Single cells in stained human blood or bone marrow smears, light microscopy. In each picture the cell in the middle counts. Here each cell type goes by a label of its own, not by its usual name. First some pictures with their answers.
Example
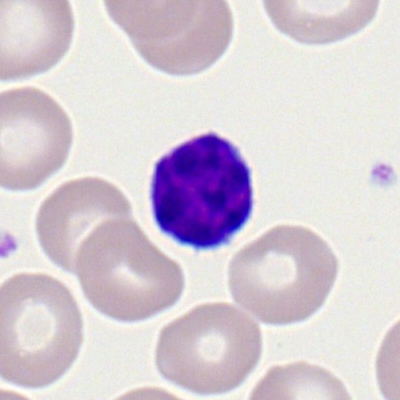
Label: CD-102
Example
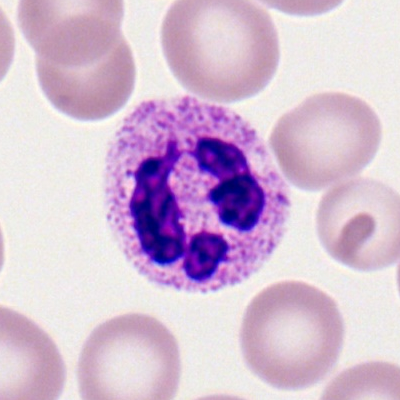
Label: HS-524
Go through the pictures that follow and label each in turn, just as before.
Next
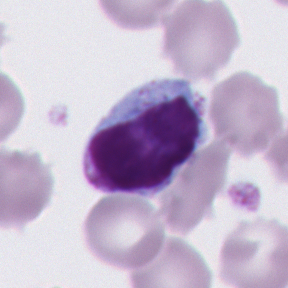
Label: CD-102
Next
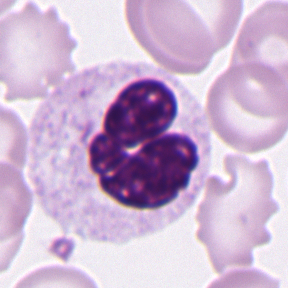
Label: HS-524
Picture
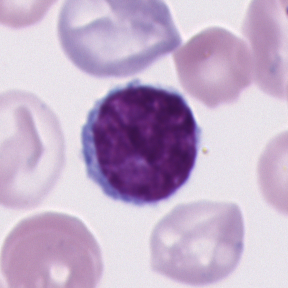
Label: CD-102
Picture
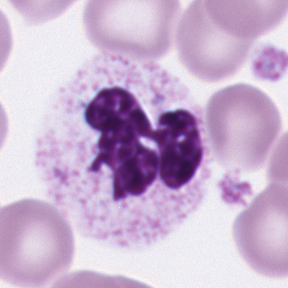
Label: HS-524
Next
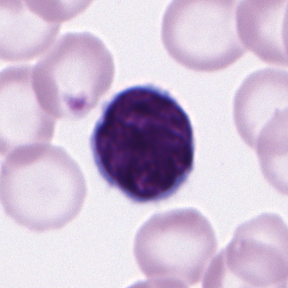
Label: CD-102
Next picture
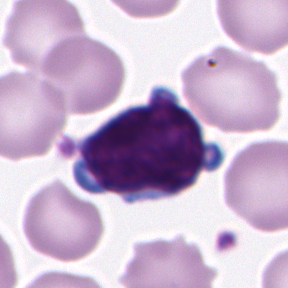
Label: CD-102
